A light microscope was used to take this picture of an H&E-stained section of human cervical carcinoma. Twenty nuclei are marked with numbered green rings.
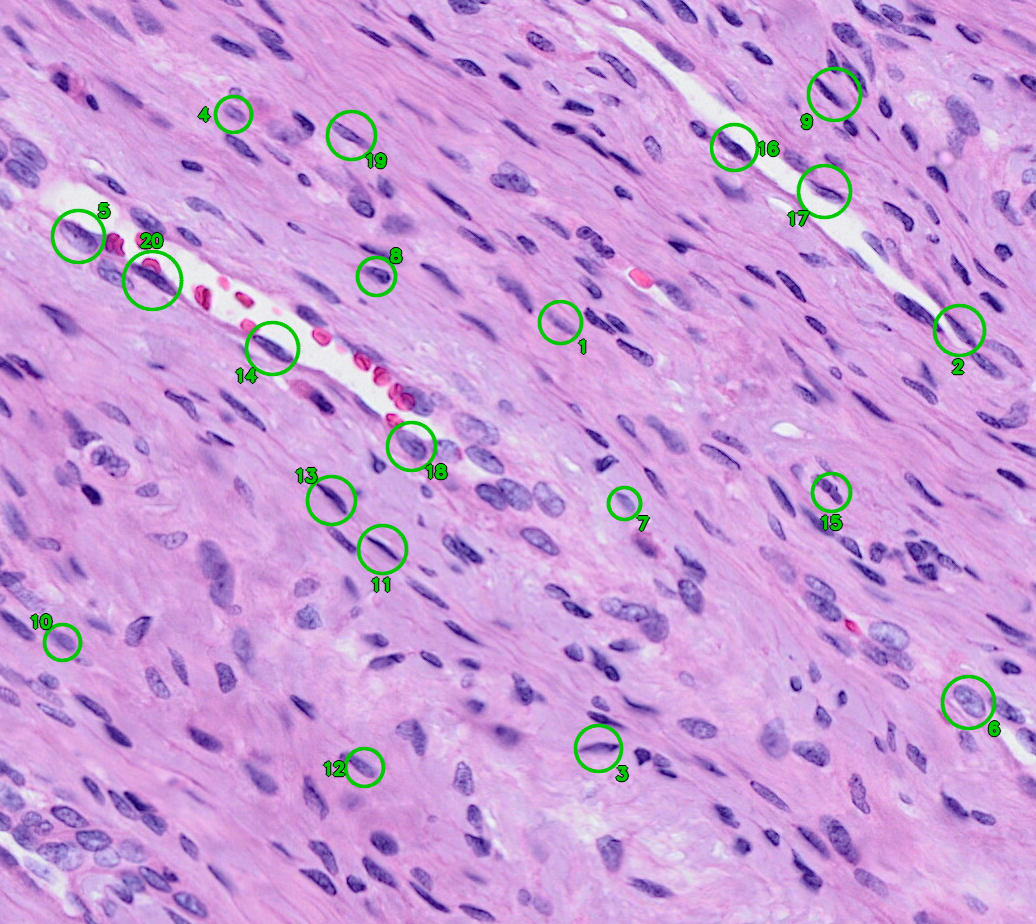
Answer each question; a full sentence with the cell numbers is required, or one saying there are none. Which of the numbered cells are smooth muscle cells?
The numbered cells include exactly one that is a smooth muscle cell, which is cell 4.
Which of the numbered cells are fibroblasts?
The cells that have been numbered 1, 3, 7, 8, 9, 10, 11, 12, 13, 15 and 19 are fibroblasts.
